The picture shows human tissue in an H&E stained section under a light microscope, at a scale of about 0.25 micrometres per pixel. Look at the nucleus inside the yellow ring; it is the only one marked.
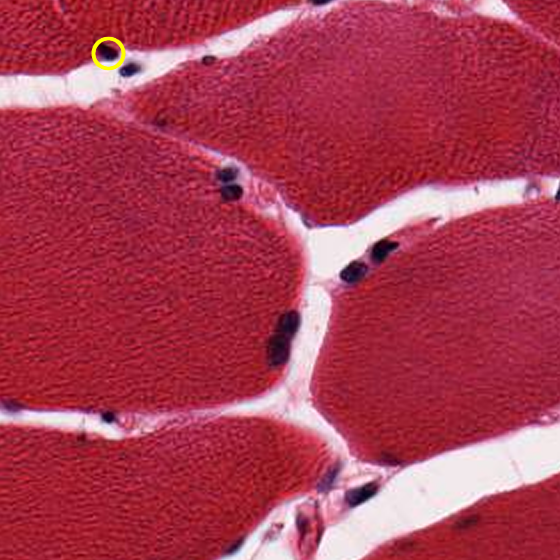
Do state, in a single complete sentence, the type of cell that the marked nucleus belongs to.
The marked nucleus belongs, in this picture, to a skeletal muscle fibre.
